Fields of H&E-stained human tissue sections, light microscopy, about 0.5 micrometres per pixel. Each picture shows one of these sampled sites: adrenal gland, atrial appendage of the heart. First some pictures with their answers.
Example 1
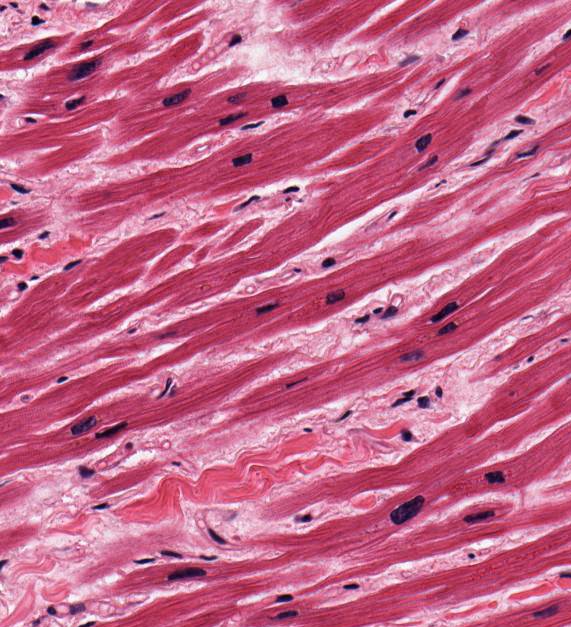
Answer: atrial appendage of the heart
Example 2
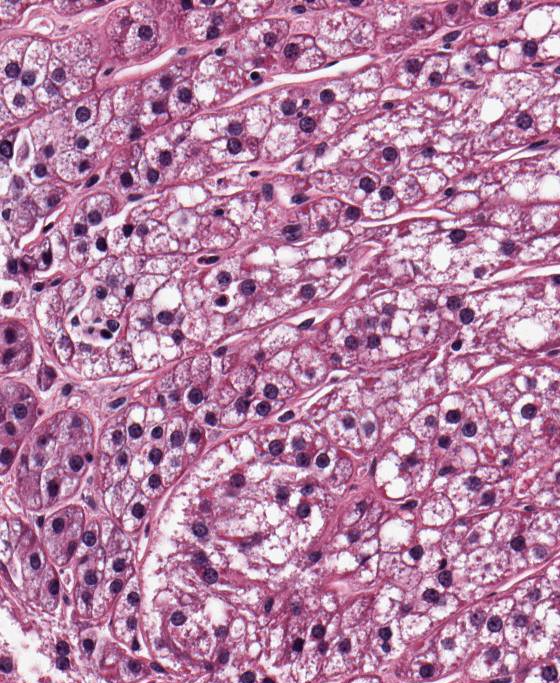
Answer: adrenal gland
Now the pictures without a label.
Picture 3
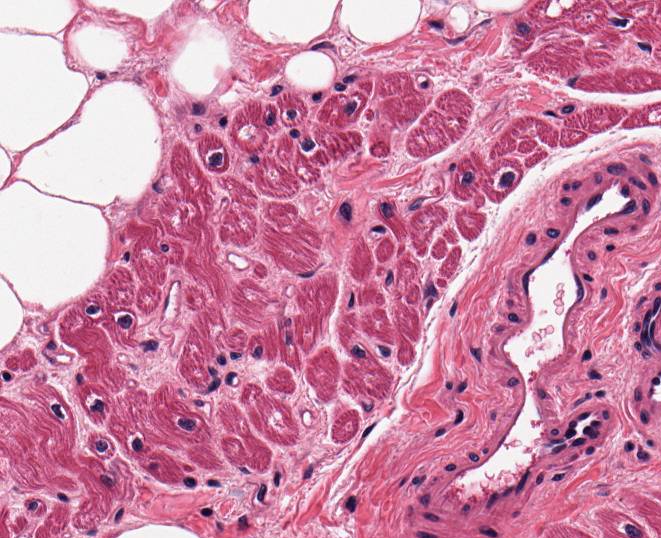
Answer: atrial appendage of the heart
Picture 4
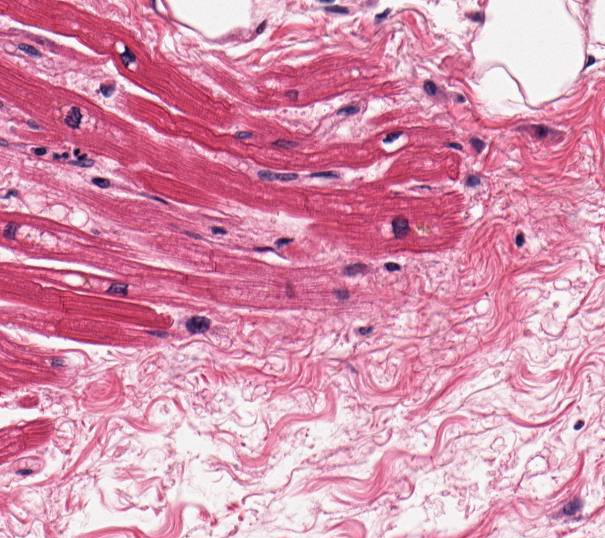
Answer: atrial appendage of the heart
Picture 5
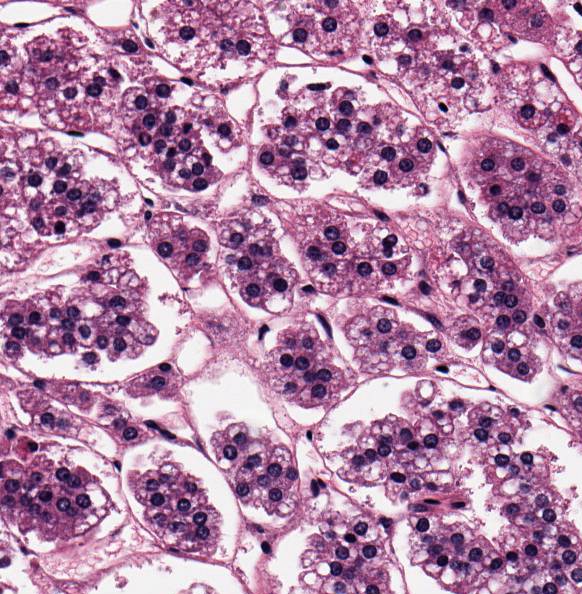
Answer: adrenal gland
